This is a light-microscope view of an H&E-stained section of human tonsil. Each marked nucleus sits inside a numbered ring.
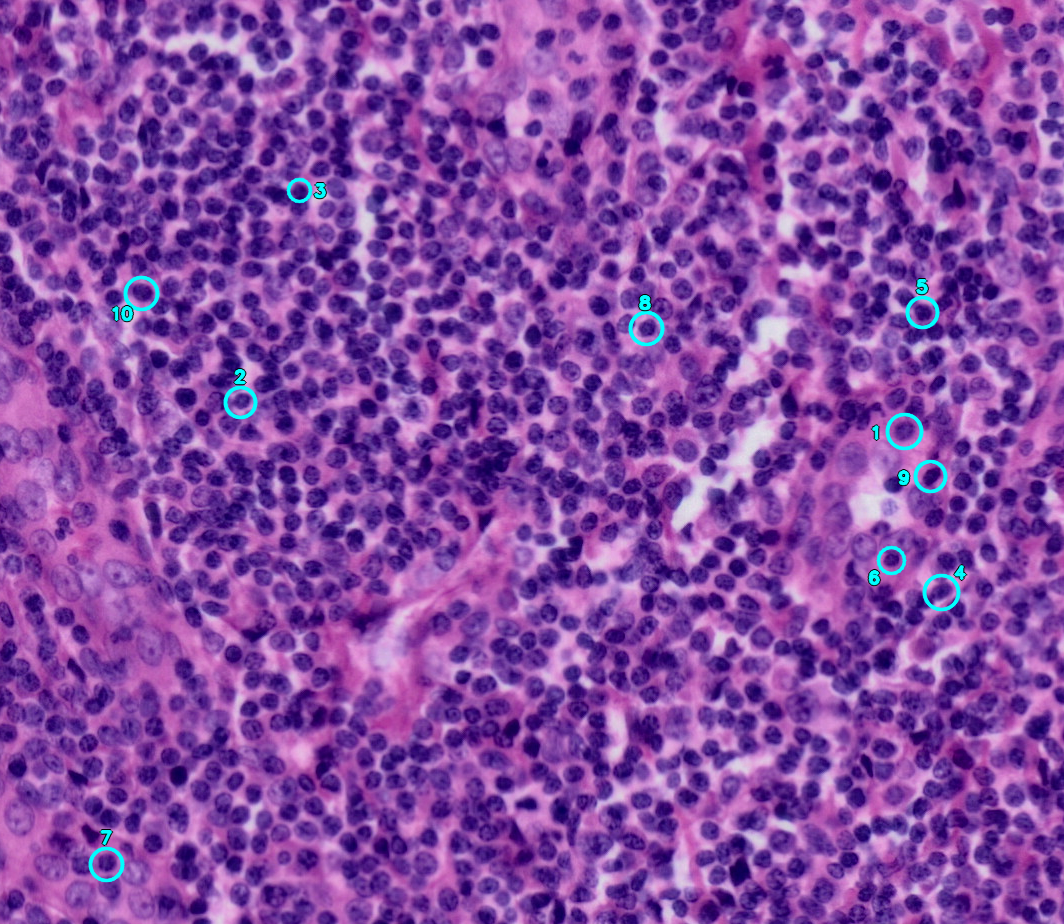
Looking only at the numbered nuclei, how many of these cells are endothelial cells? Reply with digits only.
4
